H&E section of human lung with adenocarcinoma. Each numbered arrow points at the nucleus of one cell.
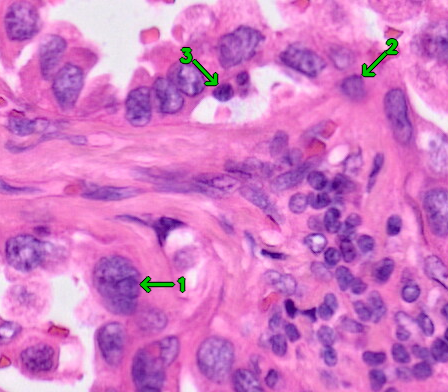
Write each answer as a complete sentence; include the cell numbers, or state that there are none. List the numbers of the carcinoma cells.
Cells 1 and 2 are recognised here as carcinoma cells.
